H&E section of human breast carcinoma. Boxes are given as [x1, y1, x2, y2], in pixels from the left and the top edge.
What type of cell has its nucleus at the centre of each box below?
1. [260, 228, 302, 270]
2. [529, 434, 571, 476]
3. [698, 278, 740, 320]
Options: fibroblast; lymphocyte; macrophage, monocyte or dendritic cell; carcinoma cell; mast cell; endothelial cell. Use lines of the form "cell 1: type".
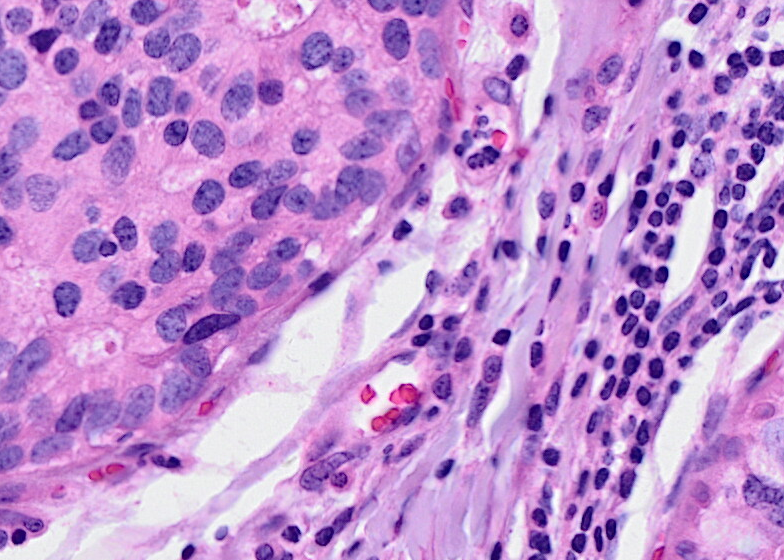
cell 1: carcinoma cell
cell 2: lymphocyte
cell 3: lymphocyte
